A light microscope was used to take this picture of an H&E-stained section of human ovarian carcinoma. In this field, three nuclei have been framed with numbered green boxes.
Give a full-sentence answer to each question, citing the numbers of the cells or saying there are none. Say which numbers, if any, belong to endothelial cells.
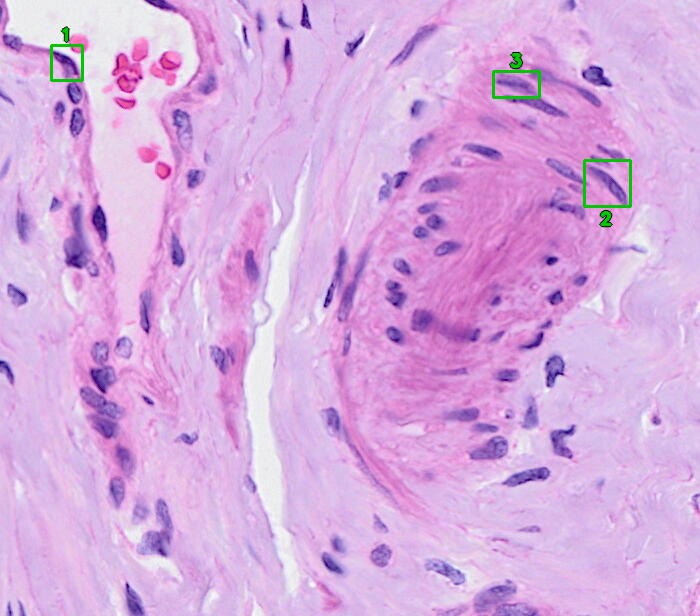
Cell 1 is an endothelial cell, while every other numbered cell is not.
